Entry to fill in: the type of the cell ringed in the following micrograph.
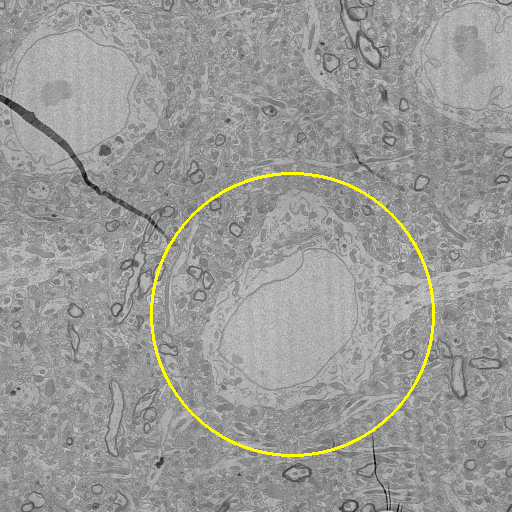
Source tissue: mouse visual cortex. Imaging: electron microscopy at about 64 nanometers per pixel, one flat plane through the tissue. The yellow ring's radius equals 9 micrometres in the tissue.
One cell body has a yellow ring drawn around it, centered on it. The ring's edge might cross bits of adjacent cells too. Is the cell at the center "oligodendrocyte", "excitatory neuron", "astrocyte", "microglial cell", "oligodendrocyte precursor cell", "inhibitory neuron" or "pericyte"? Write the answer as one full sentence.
This entry names an excitatory neuron as the cell whose body lies at the ring's center.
